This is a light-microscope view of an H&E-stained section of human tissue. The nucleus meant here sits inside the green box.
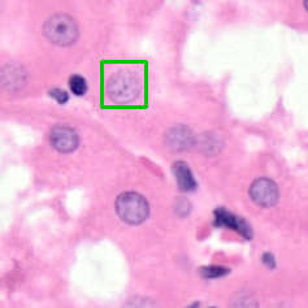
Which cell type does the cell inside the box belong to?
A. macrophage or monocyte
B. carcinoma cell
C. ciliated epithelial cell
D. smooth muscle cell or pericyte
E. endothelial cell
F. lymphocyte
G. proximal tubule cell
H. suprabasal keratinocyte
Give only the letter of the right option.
G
